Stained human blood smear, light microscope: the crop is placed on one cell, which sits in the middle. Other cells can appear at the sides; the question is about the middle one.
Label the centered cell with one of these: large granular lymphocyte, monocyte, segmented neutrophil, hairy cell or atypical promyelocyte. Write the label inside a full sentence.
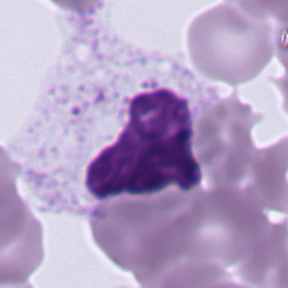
As for the central cell, it is a segmented neutrophil.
